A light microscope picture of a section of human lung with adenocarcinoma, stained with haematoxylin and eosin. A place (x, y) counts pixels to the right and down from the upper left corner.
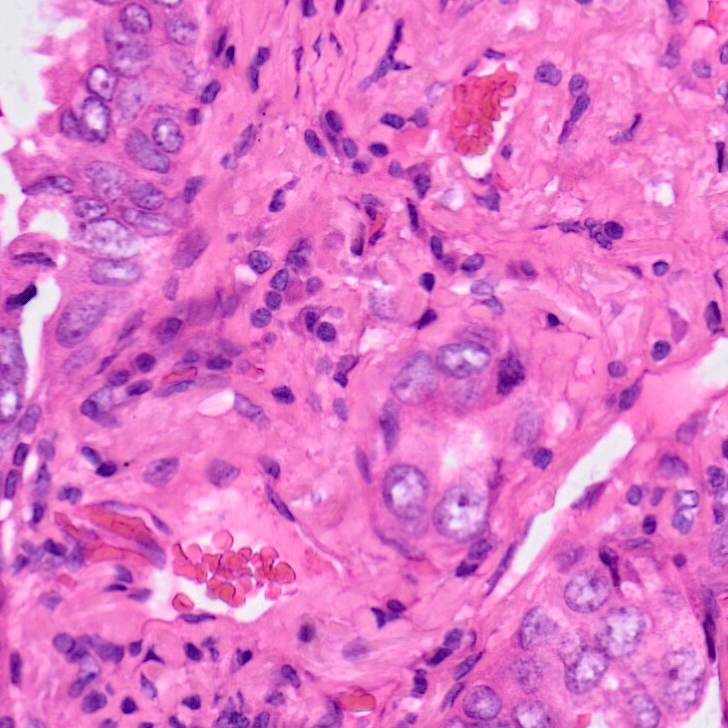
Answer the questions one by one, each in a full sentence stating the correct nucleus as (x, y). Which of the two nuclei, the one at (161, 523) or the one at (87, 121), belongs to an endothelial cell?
Of the two nuclei, the one at (161, 523) belongs to an endothelial cell.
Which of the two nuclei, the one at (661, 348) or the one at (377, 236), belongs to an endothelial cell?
The nucleus at (377, 236), rather than the other, belongs to an endothelial cell.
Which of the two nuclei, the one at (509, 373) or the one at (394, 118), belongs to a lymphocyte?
The nucleus at (394, 118) is identified as belonging to a lymphocyte.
